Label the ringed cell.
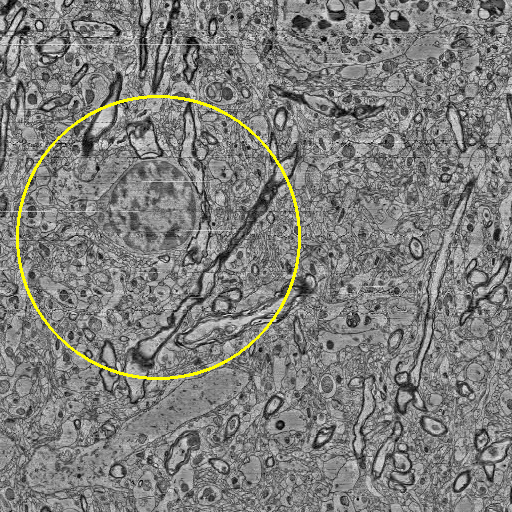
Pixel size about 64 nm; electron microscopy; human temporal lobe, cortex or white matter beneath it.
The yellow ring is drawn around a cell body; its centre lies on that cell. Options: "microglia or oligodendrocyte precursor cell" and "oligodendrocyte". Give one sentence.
The ringed cell is an oligodendrocyte.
